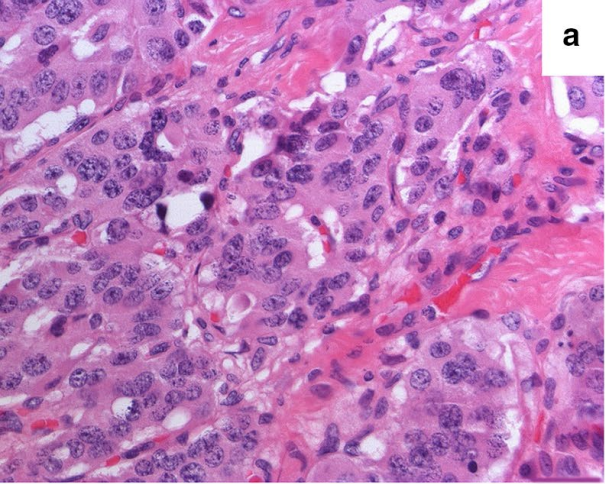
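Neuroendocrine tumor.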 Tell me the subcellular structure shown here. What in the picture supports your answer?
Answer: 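Nuclei are round to oval with finely stippled, granular chromatin. The chromatin is speckled dark on a paler background. So: ‘‘pepper and salt’’ chromatin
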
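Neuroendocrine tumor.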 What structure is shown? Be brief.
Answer: nesting pattern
